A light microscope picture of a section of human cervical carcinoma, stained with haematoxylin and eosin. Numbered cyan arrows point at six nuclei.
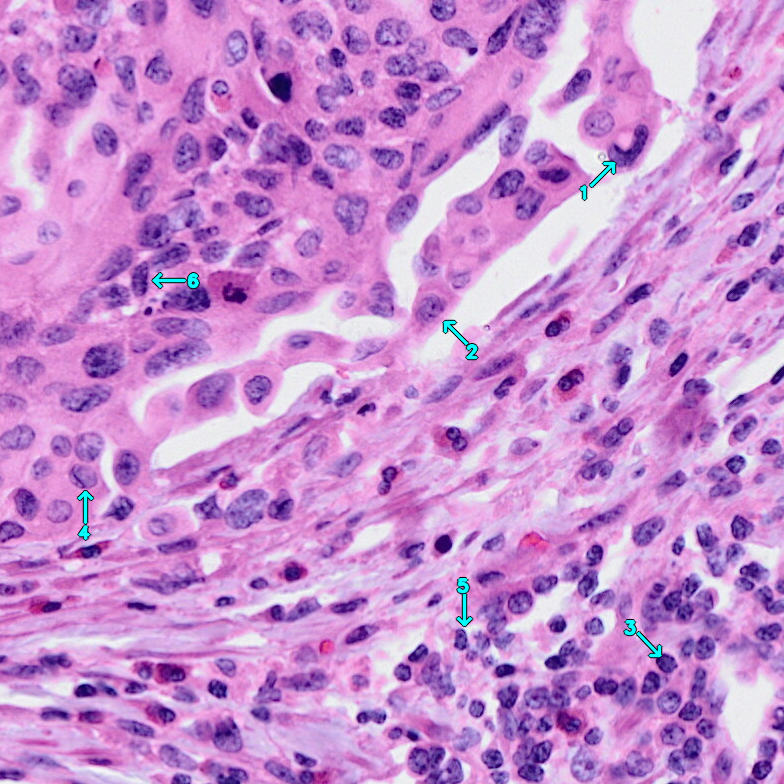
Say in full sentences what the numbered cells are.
Cells 1, 2, 4 and 6 are squamous carcinoma cells. Cells 3 and 5 are lymphocytes.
